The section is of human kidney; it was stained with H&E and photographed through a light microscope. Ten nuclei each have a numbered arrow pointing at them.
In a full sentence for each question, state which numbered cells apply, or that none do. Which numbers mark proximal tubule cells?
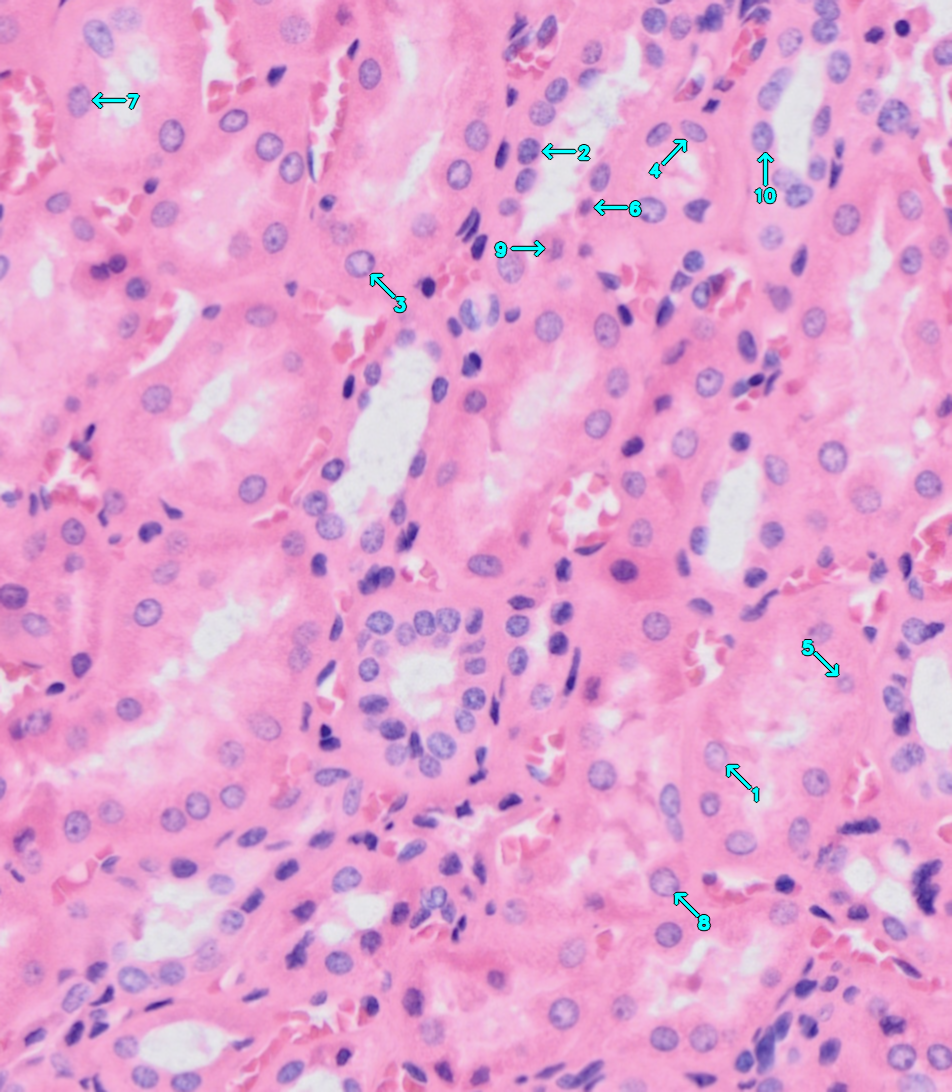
Into the category of proximal tubule cells fall the cells numbered 1, 3, 4, 5, 7 and 8.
